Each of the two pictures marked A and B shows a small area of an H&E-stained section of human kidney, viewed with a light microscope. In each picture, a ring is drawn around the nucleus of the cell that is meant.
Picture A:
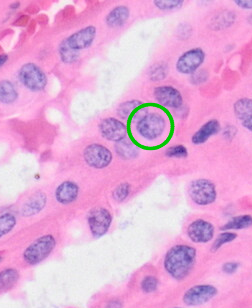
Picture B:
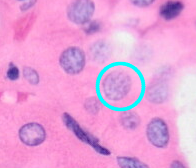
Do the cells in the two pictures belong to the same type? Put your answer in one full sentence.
No, the types are not the same, since picture A shows a collecting duct cell and picture B a “loop of Henle or distal tubule cell”.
